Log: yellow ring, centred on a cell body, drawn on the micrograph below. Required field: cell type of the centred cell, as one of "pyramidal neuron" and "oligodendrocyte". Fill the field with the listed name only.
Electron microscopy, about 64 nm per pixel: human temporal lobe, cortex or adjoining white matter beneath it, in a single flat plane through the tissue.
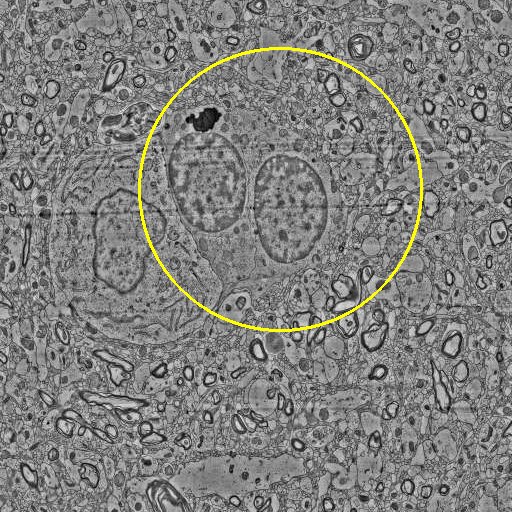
oligodendrocyte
